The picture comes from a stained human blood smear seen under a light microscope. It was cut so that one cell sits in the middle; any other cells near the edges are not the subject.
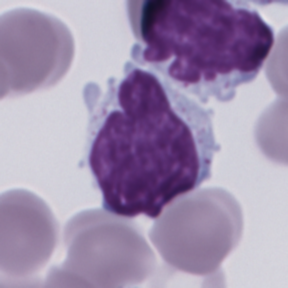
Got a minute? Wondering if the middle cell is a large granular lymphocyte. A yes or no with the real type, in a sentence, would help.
Yes, the central cell of this crop corresponds to a large granular lymphocyte.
